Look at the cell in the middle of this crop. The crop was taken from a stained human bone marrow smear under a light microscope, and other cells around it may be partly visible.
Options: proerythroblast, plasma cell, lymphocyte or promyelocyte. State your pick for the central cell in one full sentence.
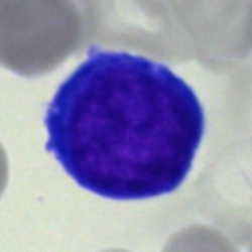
The cell in the exact centre of the crop is a proerythroblast.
